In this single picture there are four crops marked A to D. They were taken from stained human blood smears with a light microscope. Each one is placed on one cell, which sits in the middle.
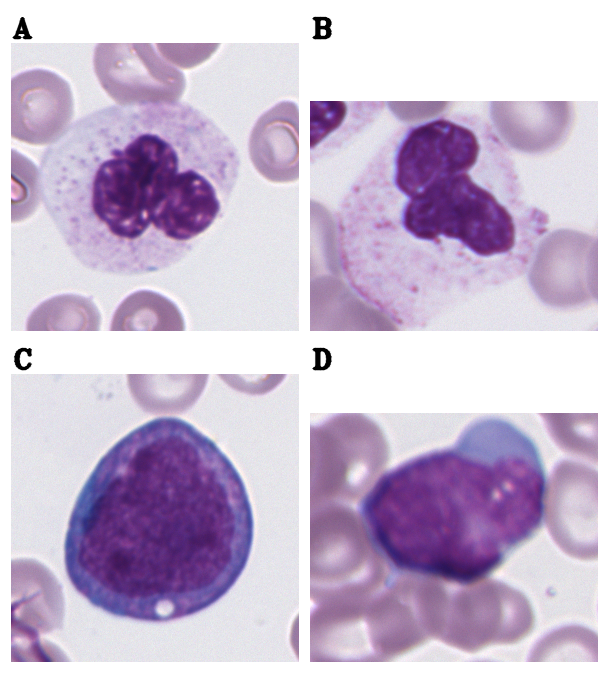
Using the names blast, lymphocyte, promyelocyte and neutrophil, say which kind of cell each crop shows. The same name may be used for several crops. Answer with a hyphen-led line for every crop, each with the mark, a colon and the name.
- A: neutrophil
- B: neutrophil
- C: promyelocyte
- D: blast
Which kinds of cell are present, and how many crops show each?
neutrophil: 2
promyelocyte: 1
blast: 1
